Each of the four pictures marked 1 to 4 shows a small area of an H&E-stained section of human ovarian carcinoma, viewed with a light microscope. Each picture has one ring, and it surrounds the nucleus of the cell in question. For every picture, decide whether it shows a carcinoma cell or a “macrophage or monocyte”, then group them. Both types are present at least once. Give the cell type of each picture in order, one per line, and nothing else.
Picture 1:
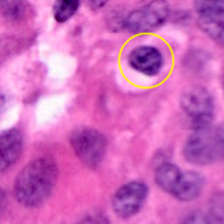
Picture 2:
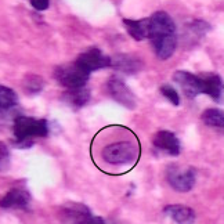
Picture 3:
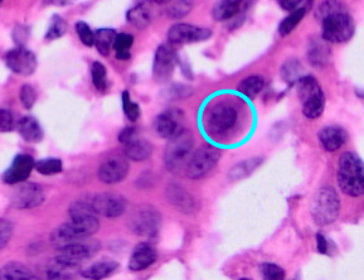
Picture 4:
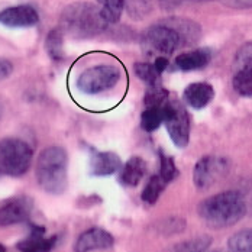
macrophage or monocyte
macrophage or monocyte
carcinoma cell
macrophage or monocyte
